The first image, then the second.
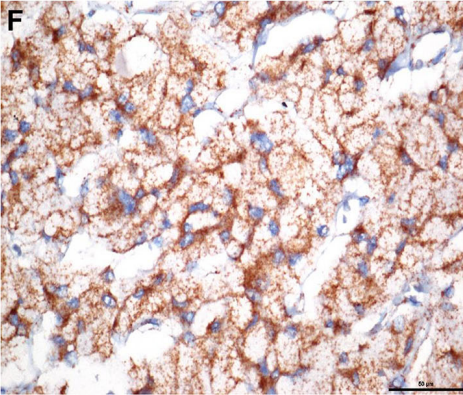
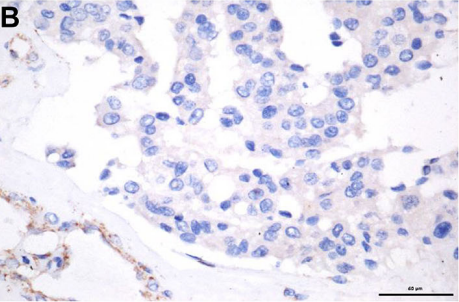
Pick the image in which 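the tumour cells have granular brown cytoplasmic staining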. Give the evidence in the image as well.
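First image: cytoplasm of the tumour cells is filled with coarse brown granules. Second image: tumour cells are pale with blue nuclei and no brown granules; brown only in thin stromal lining at the edge.
Conclusion: the first image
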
